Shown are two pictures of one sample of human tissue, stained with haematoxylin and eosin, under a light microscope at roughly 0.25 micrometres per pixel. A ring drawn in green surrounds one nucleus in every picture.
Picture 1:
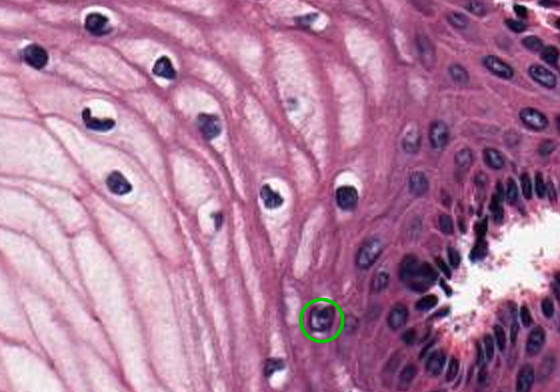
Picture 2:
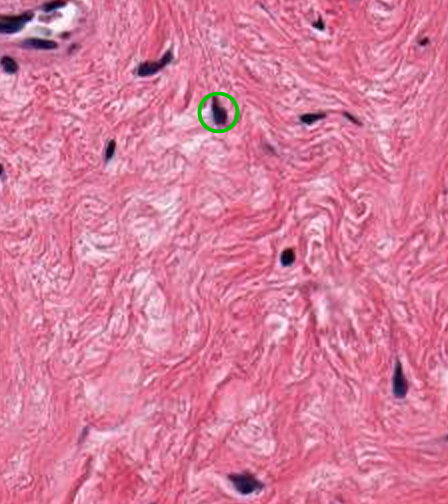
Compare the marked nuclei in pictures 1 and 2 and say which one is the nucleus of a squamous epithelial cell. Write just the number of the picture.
1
